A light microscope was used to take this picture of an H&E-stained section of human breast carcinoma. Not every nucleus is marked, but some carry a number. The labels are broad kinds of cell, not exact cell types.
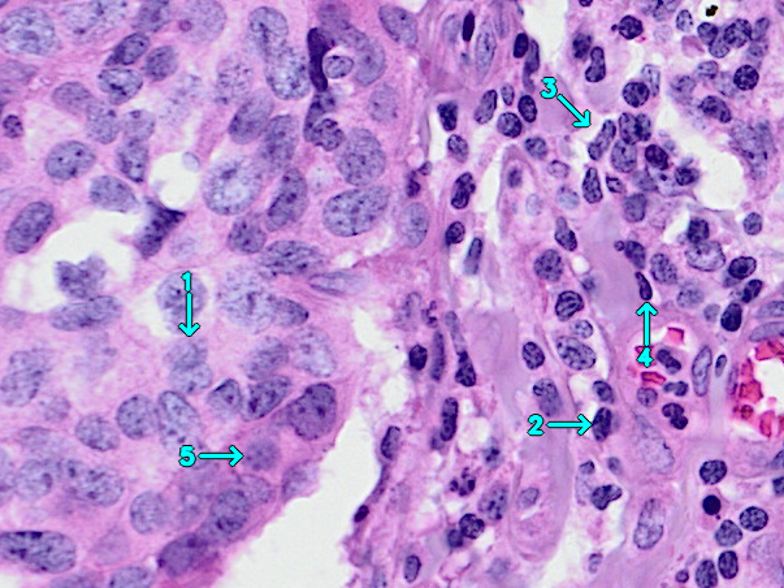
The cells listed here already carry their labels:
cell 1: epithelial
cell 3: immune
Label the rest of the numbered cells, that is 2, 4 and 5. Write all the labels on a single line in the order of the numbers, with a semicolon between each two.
immune; immune; epithelial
